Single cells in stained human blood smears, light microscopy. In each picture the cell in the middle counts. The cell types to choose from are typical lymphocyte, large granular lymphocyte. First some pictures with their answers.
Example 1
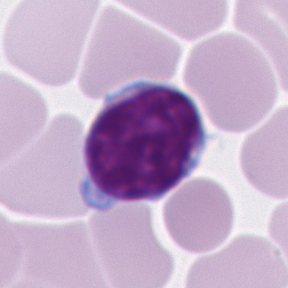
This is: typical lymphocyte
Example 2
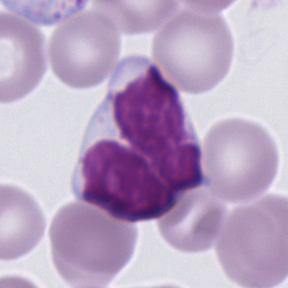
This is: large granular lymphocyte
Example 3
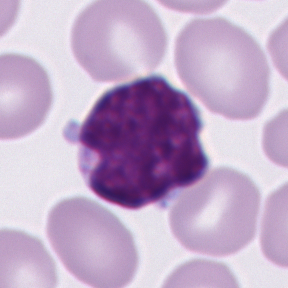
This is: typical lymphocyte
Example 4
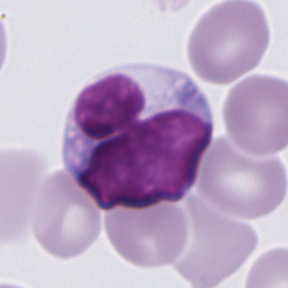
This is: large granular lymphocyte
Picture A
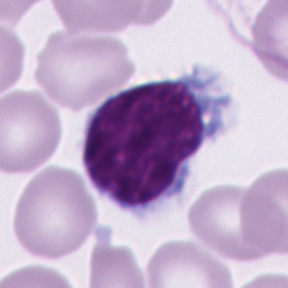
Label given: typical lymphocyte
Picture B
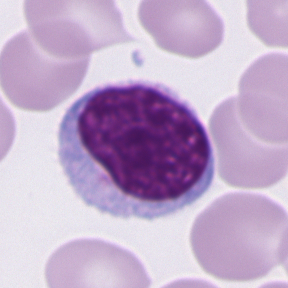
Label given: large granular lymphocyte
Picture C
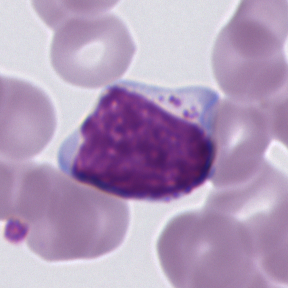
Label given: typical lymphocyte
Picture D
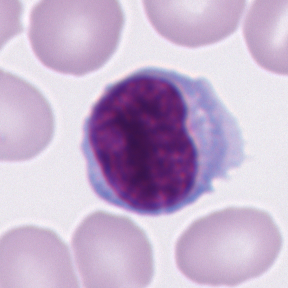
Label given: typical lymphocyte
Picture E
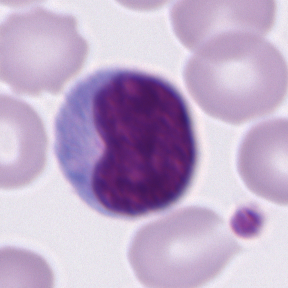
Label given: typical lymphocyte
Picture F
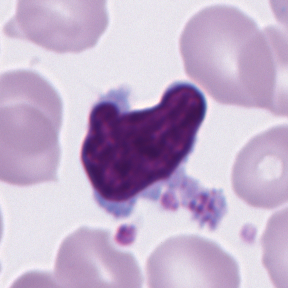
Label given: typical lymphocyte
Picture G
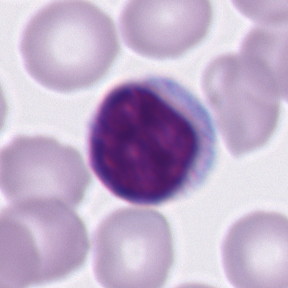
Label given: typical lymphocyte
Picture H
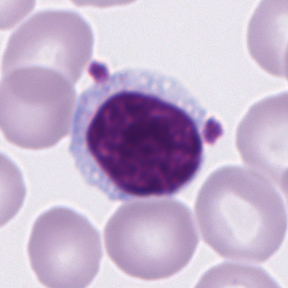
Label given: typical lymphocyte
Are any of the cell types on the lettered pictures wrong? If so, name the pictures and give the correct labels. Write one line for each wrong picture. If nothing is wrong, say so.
B should be typical lymphocyte, not large granular lymphocyte
C should be large granular lymphocyte, not typical lymphocyte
